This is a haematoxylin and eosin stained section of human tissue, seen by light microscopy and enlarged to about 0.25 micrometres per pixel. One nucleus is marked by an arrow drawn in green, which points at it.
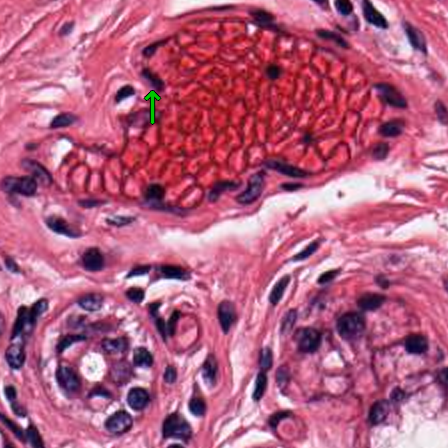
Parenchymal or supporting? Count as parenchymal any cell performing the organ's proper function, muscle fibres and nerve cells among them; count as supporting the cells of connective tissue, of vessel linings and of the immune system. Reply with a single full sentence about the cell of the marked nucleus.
Attributed to a supporting cell is the marked nucleus.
